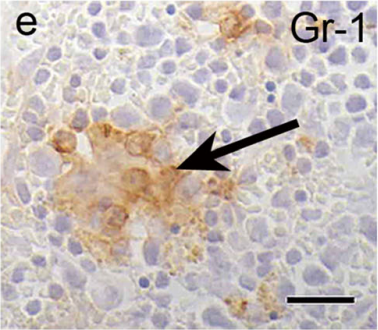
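The stained cells are larger than many of their neighbours and have brown, rather ill-defined cytoplasm and outlines. Around them lie many round cells with blue nuclei and little or no brown stain, packed closely together.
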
